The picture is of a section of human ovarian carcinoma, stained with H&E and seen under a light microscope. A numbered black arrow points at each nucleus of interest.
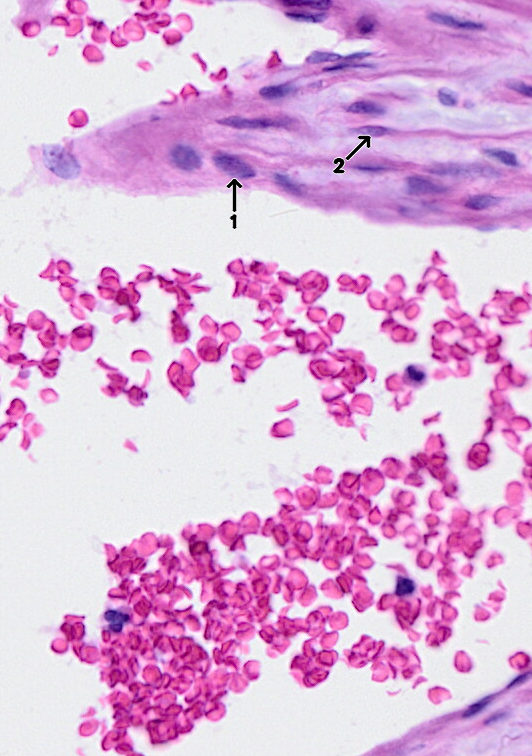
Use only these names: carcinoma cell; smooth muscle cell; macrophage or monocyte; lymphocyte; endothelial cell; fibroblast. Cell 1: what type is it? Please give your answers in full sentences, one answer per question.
The cell indicated by marker 1 is an endothelial cell in this section.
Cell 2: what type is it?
The cell numbered 2 represents a smooth muscle cell.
